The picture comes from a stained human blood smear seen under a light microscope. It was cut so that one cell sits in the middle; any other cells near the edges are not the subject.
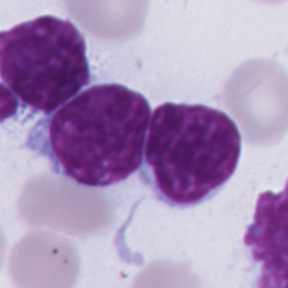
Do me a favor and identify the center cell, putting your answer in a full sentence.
By type, the central cell of the crop is a blast.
